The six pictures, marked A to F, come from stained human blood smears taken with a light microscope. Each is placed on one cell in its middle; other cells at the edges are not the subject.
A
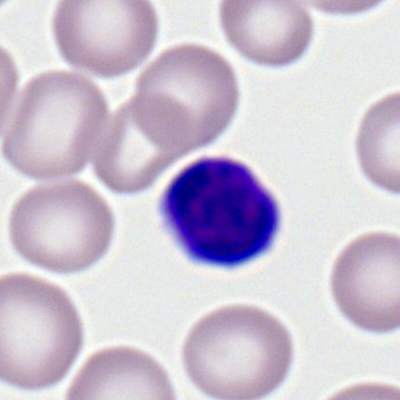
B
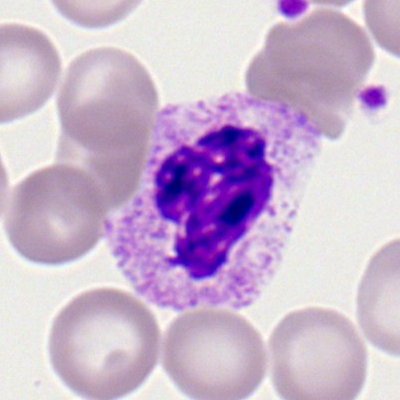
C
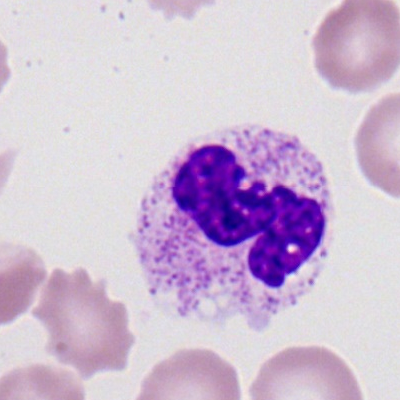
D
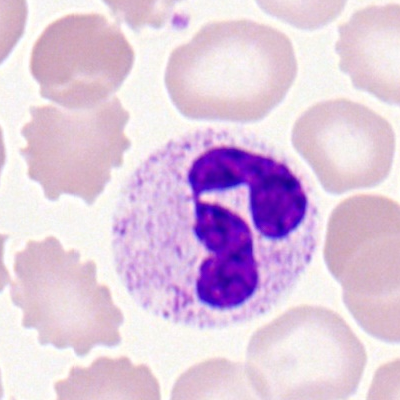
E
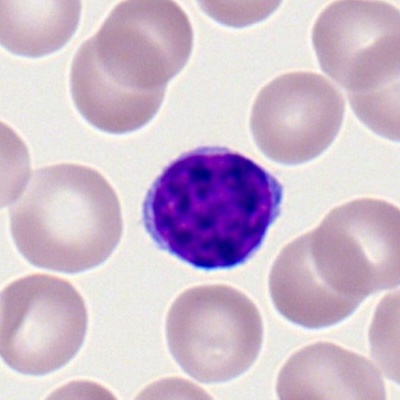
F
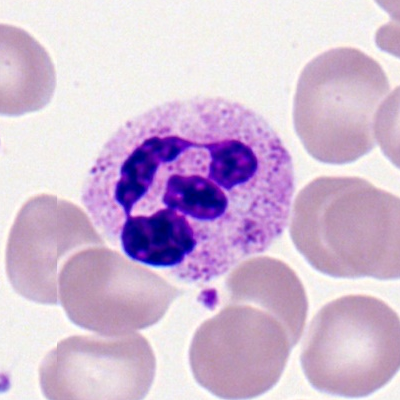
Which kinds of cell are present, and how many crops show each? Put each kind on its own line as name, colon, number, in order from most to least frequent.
neutrophil: 4
lymphocyte: 2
